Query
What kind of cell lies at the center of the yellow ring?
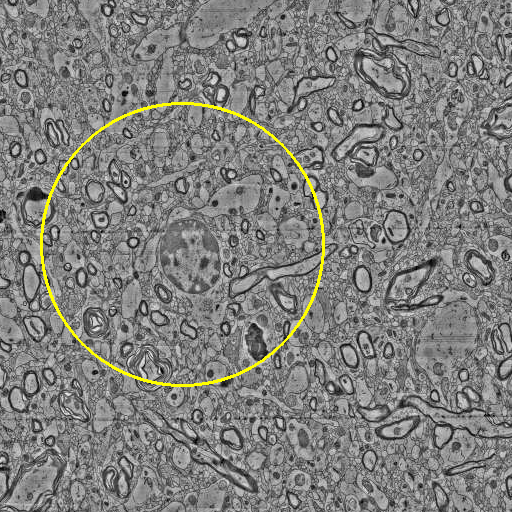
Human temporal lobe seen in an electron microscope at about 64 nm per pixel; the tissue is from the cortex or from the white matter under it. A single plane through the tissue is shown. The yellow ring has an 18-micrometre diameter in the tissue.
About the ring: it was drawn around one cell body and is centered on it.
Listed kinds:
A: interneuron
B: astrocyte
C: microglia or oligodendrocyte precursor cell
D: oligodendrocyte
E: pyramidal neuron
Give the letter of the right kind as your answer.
C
